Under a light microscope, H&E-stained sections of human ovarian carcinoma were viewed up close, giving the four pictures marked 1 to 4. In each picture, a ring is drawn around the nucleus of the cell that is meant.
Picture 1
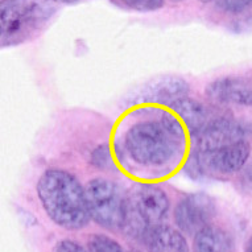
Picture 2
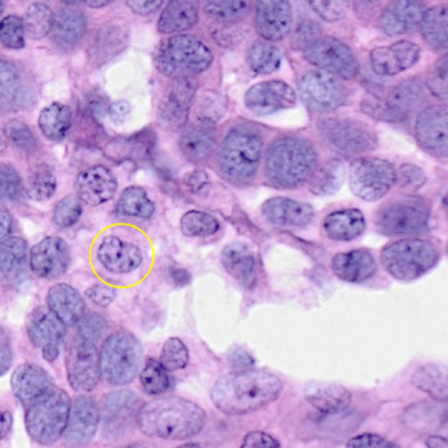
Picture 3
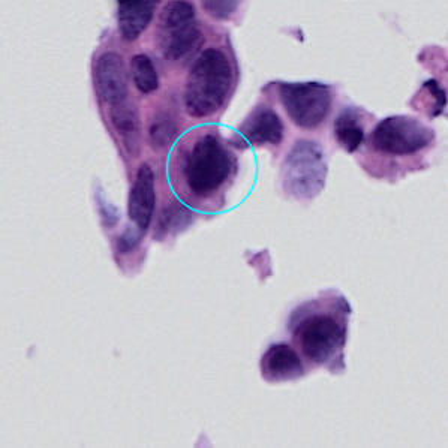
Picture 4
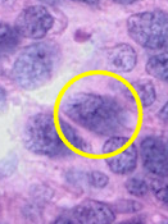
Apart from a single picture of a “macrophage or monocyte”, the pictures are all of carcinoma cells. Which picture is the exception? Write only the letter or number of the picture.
2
